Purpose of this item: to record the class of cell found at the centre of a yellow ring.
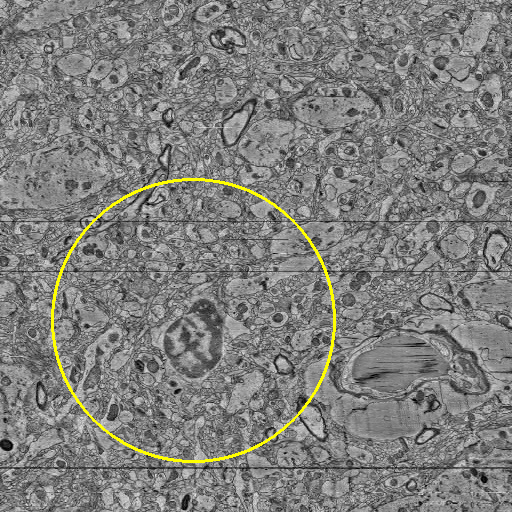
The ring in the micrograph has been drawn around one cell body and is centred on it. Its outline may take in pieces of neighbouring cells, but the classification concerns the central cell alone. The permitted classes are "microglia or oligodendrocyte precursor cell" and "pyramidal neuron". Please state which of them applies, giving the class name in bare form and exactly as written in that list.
microglia or oligodendrocyte precursor cell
